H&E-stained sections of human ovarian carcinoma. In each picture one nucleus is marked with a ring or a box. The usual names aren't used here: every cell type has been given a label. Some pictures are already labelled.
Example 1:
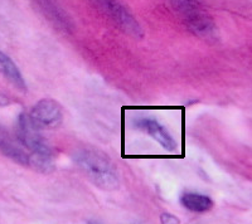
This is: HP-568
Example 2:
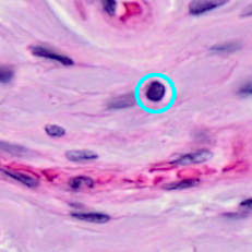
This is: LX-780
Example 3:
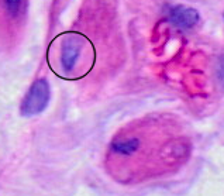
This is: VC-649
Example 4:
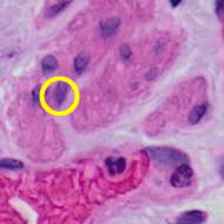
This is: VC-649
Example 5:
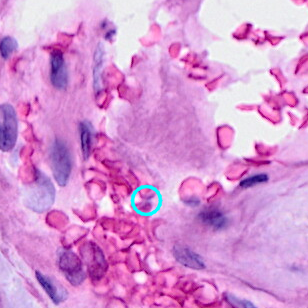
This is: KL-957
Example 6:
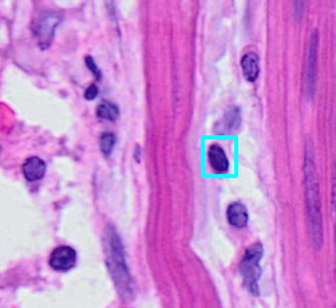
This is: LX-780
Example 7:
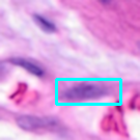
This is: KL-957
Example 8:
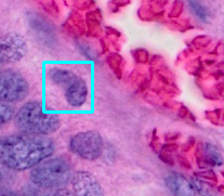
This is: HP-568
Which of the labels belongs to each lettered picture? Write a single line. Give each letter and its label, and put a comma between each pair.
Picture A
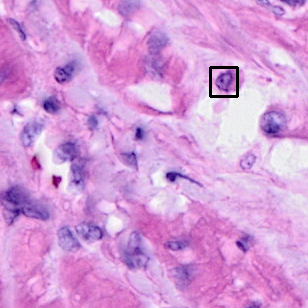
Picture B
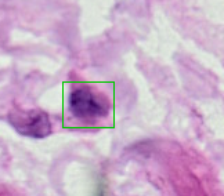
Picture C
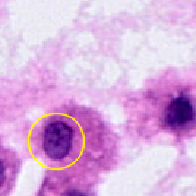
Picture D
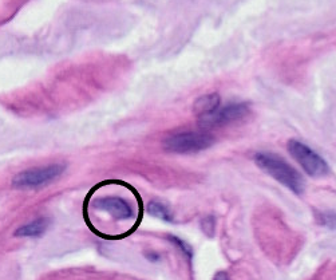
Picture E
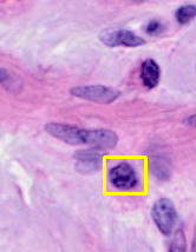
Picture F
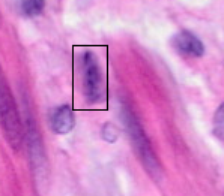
A HP-568, B HP-568, C HP-568, D KL-957, E LX-780, F HP-568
